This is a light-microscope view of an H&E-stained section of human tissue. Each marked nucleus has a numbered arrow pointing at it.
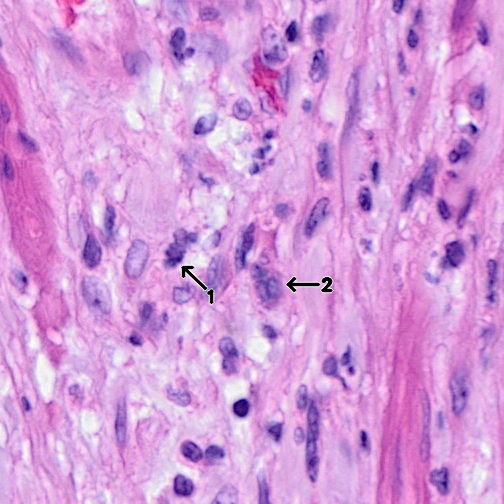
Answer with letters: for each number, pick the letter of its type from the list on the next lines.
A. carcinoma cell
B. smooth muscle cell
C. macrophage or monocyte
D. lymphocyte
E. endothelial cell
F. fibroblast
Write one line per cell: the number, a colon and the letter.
1: D
2: E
